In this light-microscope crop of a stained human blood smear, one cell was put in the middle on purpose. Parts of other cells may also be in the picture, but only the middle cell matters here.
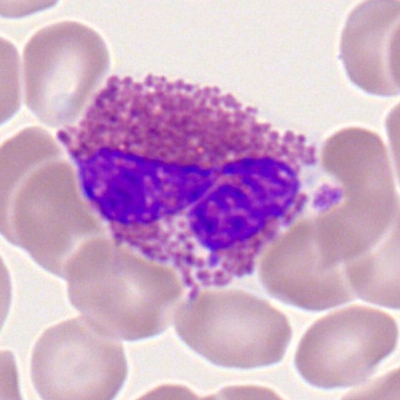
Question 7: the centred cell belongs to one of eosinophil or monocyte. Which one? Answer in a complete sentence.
Seen at the centre of the crop is an eosinophil.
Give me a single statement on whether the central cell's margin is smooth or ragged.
As for its outline, the cell is irregular, ragged or drawn into projections.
